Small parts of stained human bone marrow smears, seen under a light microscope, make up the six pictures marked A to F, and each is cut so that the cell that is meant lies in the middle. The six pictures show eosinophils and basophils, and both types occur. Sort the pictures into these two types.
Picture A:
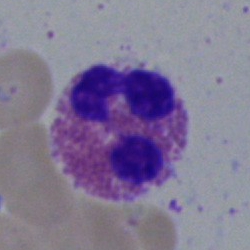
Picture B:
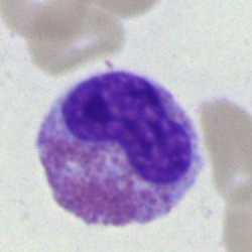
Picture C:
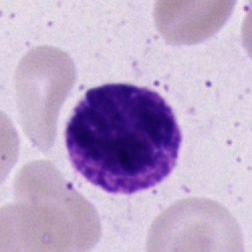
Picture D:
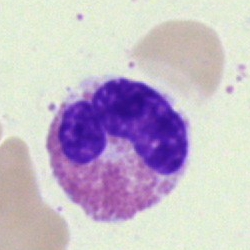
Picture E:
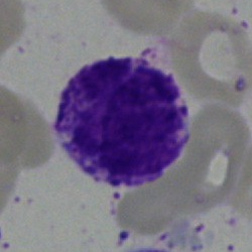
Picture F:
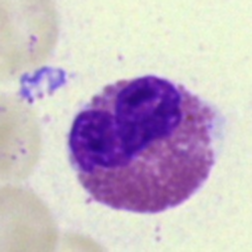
A: eosinophil
B: eosinophil
C: basophil
D: basophil
E: basophil
F: eosinophil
